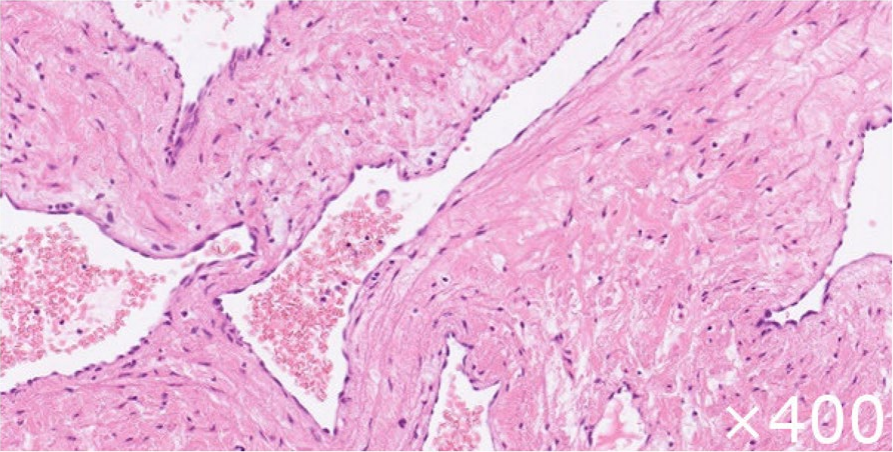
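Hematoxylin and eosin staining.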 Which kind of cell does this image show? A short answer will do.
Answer: Endothelial cell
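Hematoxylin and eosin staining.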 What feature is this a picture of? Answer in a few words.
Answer: dilated vascular channels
